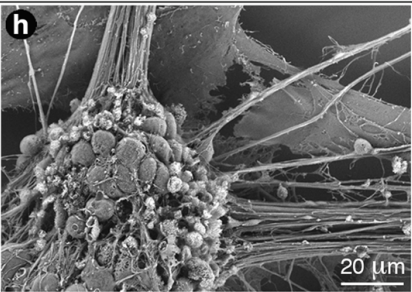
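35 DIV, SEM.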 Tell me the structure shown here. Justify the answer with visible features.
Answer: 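Axons. Long thin fibres leave a cluster of rounded cell bodies. The fibres run outward in several directions, many gathered into bundles.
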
